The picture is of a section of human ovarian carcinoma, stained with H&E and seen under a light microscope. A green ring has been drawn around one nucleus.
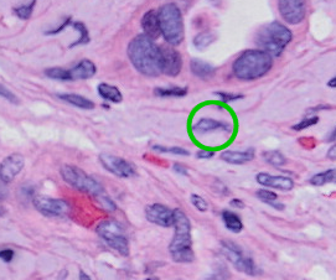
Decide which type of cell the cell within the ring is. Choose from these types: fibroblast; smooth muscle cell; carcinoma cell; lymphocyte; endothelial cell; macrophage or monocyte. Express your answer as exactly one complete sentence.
The category to which the cell within the ring belongs is that of a fibroblast.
